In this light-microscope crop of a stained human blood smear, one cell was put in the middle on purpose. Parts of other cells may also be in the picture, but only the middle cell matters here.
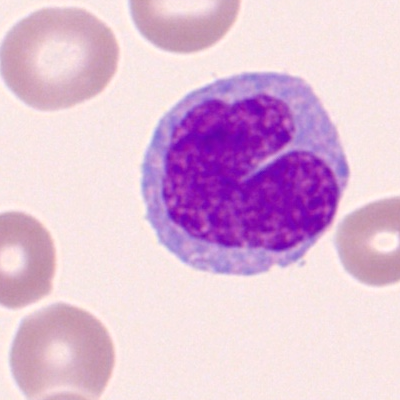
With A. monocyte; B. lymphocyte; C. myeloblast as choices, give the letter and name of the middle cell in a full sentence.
Option A is correct, and the cell in the centre is a monocyte.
